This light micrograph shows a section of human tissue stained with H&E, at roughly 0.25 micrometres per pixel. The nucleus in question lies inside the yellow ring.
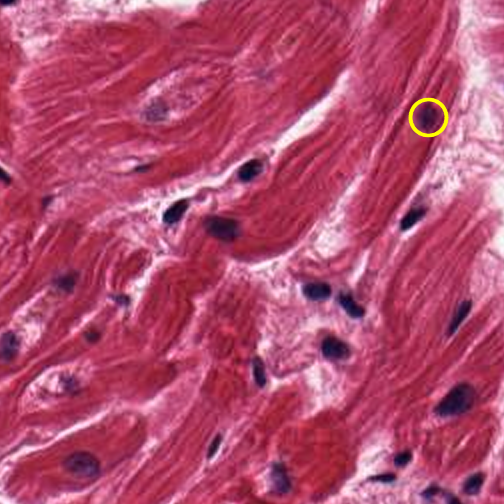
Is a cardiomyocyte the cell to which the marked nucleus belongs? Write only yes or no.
yes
